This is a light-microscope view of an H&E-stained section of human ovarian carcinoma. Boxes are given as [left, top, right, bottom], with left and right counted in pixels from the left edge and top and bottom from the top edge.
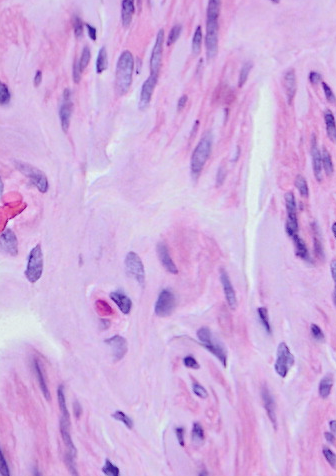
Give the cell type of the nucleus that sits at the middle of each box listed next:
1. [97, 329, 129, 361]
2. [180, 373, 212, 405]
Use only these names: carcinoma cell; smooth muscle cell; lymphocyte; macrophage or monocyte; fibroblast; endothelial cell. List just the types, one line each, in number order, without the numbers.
fibroblast
smooth muscle cell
